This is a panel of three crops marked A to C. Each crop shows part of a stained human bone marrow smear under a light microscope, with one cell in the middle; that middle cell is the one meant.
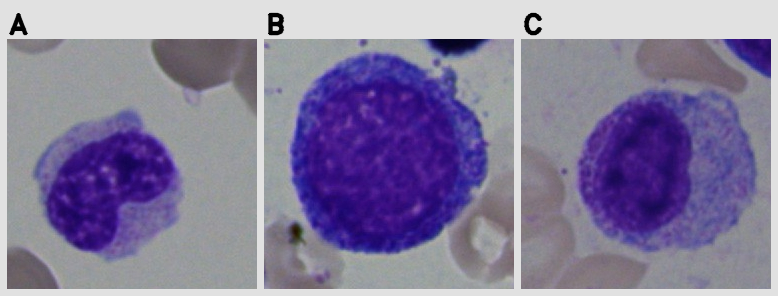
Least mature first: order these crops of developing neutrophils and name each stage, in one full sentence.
Ranked from the least mature cell to the most mature, they are crop B (a promyelocyte), crop C (a myelocyte) and crop A (a band neutrophil).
